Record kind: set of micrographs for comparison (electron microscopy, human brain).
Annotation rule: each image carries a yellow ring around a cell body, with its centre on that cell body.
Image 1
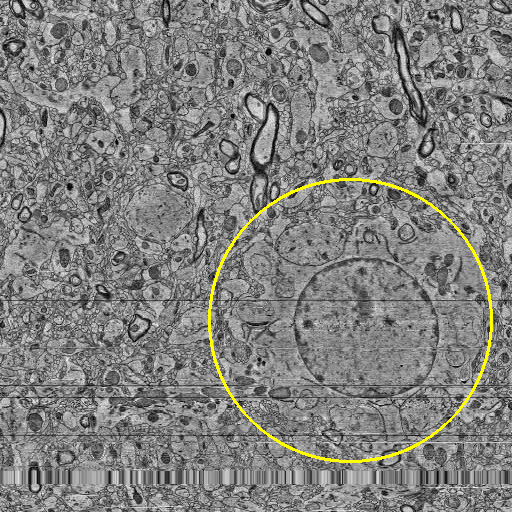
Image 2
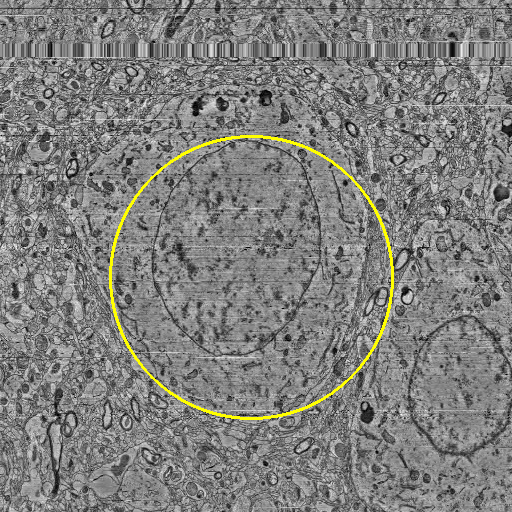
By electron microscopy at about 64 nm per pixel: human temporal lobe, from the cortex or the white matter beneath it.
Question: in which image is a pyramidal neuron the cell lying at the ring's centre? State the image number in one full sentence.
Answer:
In image 2, the ring is centred on the cell in question.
